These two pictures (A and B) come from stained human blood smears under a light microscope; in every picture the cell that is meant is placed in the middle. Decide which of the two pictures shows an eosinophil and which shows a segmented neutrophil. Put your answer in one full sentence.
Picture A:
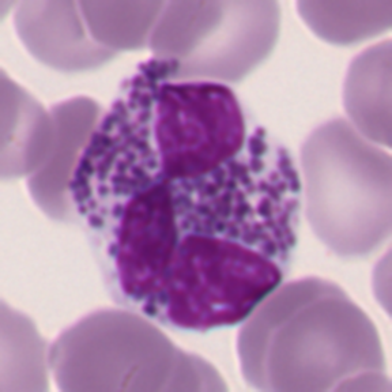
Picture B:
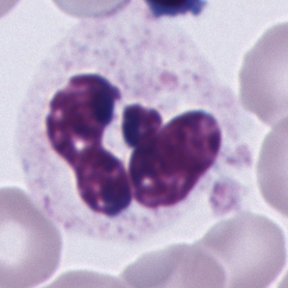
It is picture A that shows an eosinophil, and picture B that shows a segmented neutrophil.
